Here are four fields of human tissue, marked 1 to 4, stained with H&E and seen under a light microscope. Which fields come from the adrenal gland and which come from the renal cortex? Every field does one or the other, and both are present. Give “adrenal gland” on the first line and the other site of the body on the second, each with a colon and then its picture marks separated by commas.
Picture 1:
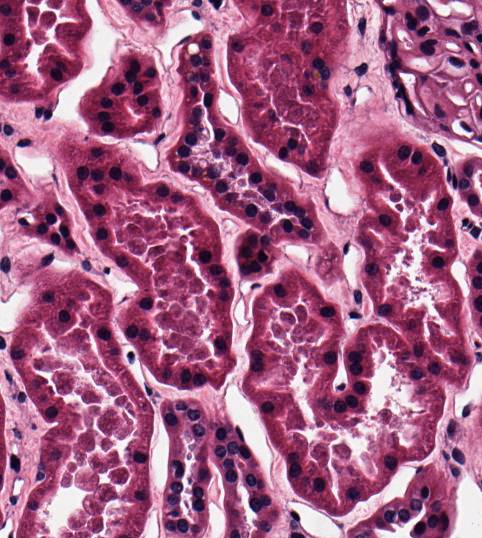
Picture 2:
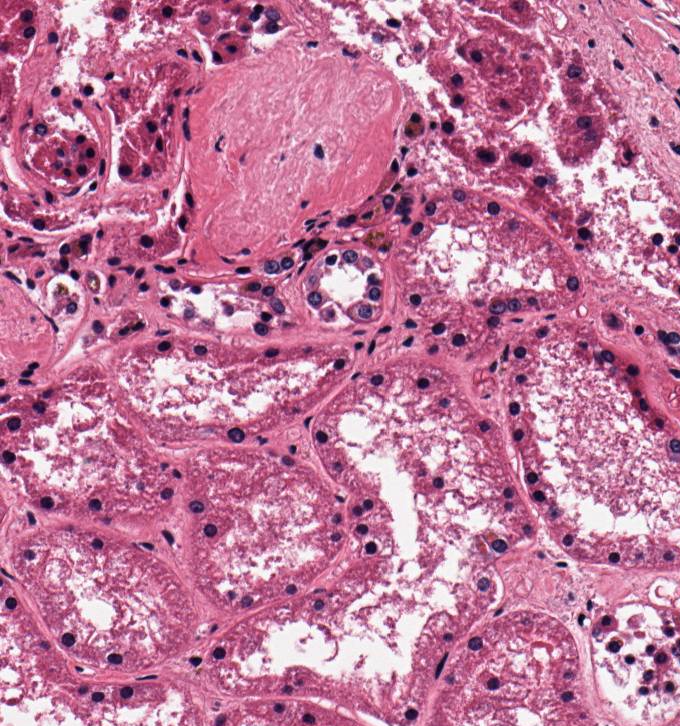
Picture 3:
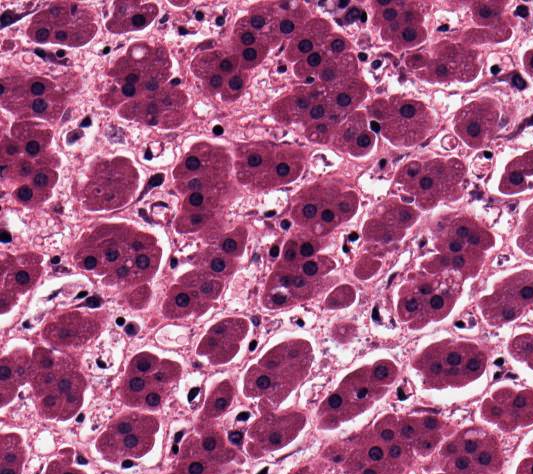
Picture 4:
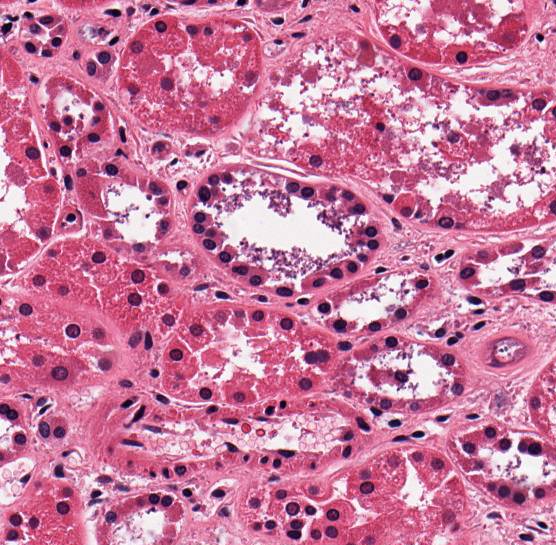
adrenal gland: 3
renal cortex: 1, 2, 4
